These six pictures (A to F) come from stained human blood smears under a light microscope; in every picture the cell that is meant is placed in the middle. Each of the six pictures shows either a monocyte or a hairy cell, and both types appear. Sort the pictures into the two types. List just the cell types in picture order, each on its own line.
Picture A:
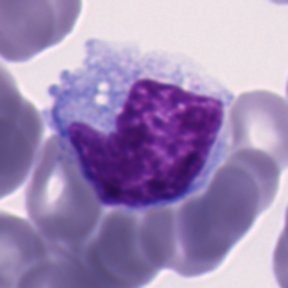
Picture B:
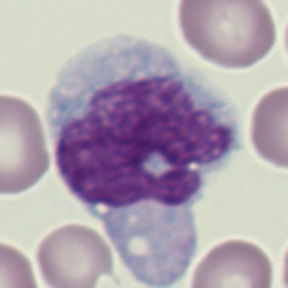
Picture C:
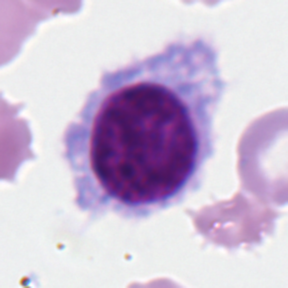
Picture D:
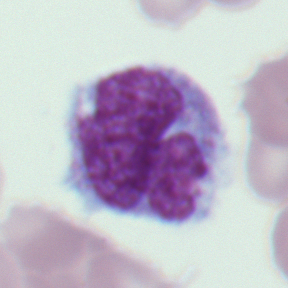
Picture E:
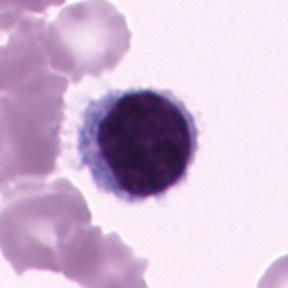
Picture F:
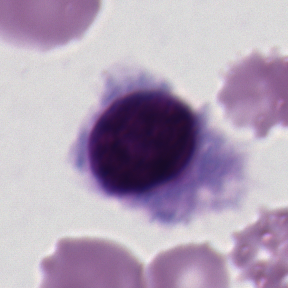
monocyte
monocyte
hairy cell
monocyte
hairy cell
hairy cell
